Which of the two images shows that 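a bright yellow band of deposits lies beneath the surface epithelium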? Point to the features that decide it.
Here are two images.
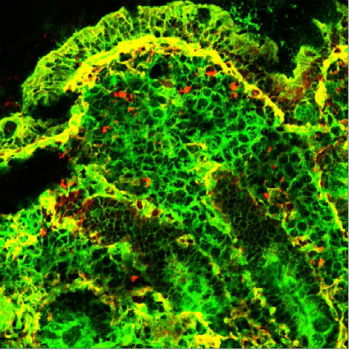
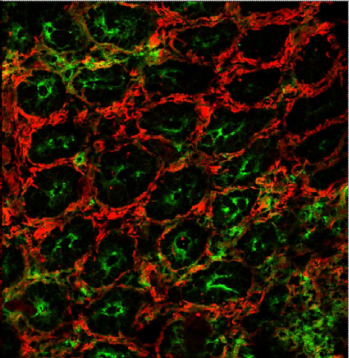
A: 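The first image. First image: a continuous bright yellow band follows the curved surface layer of the tissue. Second image: red and green lie mostly apart, with little yellow and no yellow band.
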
